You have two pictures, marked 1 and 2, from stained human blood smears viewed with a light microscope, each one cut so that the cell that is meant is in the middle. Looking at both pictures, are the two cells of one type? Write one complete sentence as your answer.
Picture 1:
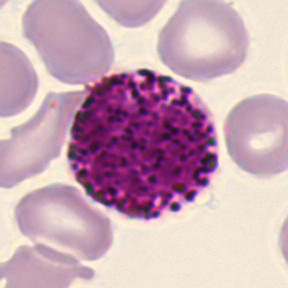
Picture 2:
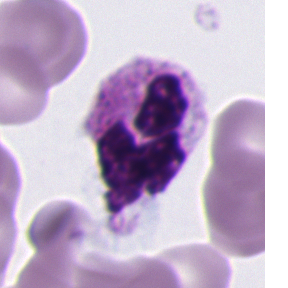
No, picture 1 shows a basophil and picture 2 shows a segmented neutrophil.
